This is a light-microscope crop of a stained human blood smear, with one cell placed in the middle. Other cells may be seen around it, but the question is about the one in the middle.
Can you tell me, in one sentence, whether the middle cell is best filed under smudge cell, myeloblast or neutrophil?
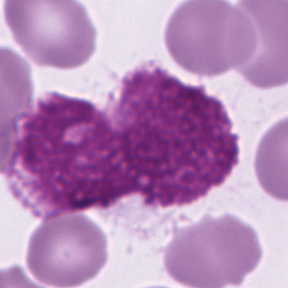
The centrally located cell in the crop is a smudge cell.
